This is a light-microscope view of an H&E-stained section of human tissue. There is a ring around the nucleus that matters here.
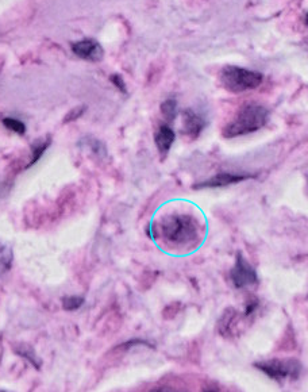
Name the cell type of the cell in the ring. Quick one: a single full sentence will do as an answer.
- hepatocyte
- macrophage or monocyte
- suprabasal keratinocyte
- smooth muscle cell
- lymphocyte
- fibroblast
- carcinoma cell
As far as its identity is concerned, the cell in the ring is a macrophage or monocyte.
